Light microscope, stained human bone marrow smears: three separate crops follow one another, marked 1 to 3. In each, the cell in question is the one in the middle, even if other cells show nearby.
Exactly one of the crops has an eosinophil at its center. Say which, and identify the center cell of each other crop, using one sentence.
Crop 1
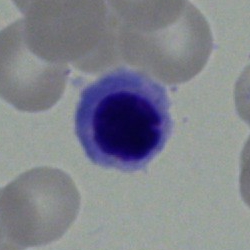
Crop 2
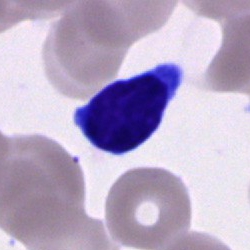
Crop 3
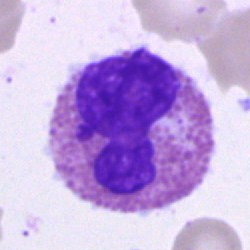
Crop 3 shows an eosinophil in its middle, while crop 1 is an erythroblast and crop 2 is a lymphocyte.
